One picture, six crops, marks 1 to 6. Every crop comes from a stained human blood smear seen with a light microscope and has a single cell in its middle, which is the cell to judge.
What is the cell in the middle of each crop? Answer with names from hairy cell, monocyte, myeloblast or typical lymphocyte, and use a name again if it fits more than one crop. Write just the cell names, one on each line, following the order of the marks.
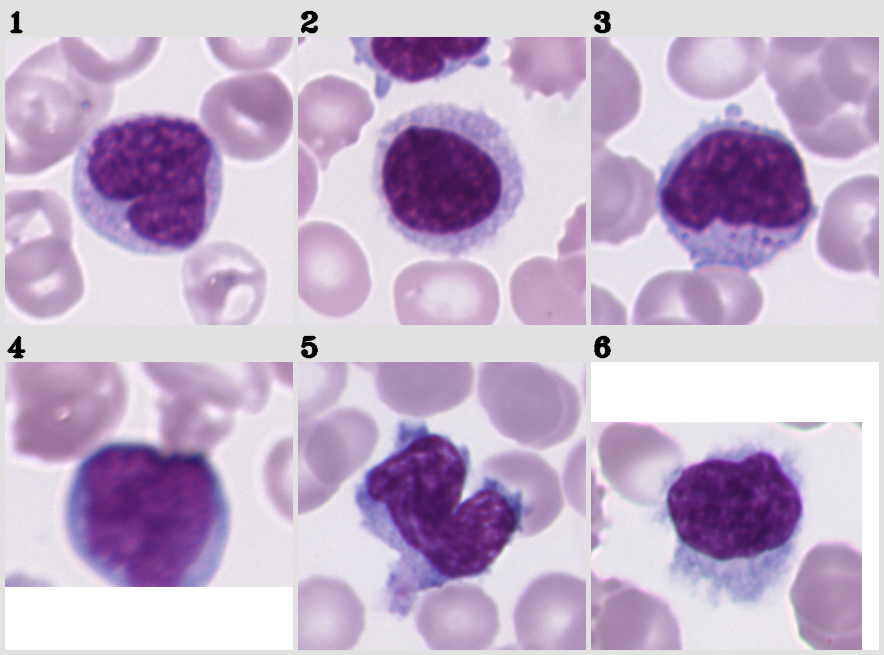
monocyte
hairy cell
typical lymphocyte
myeloblast
typical lymphocyte
hairy cell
